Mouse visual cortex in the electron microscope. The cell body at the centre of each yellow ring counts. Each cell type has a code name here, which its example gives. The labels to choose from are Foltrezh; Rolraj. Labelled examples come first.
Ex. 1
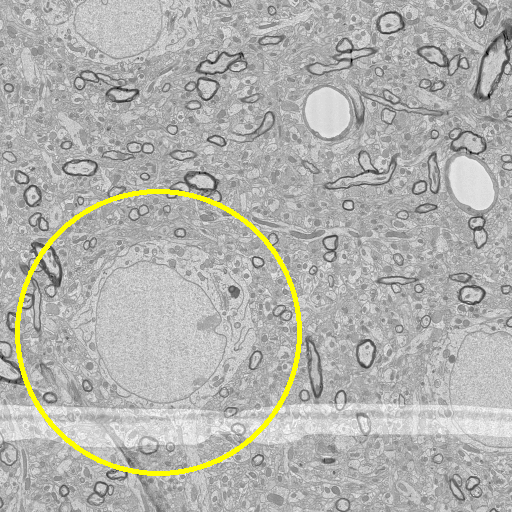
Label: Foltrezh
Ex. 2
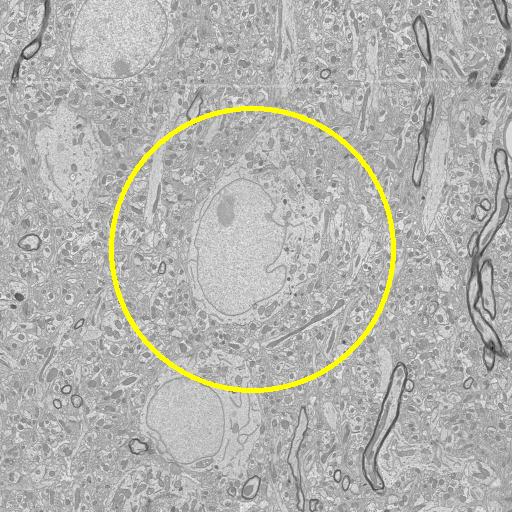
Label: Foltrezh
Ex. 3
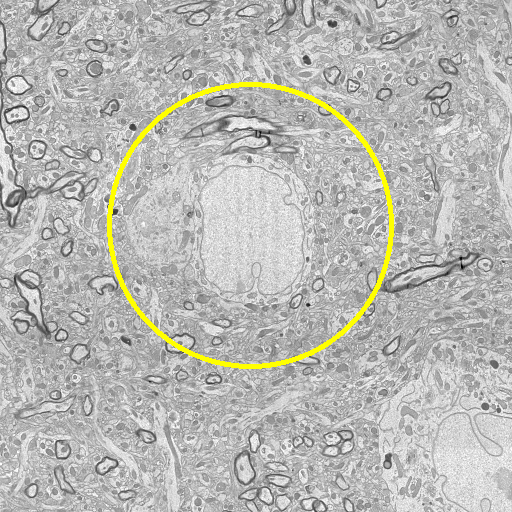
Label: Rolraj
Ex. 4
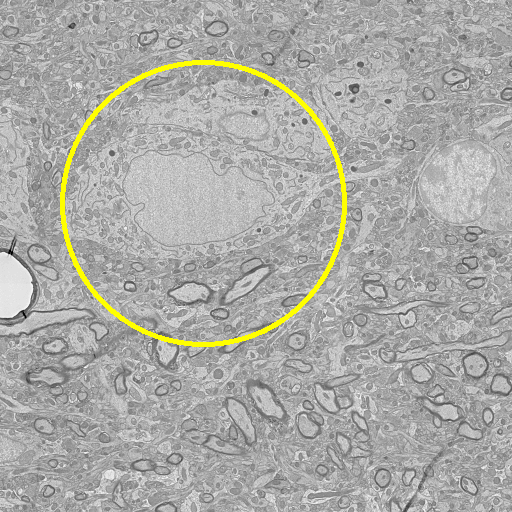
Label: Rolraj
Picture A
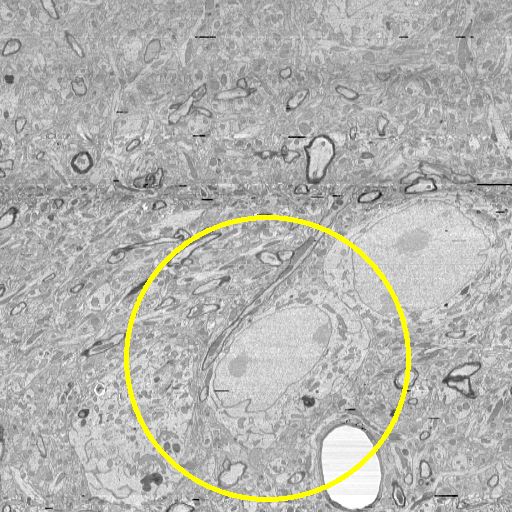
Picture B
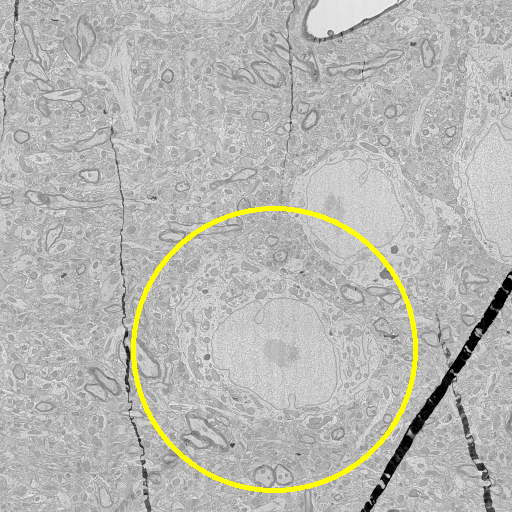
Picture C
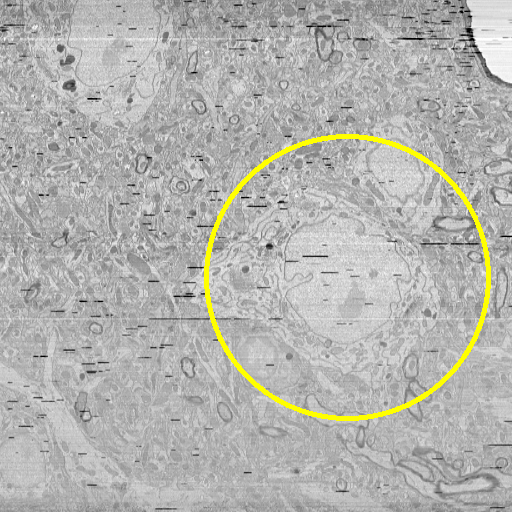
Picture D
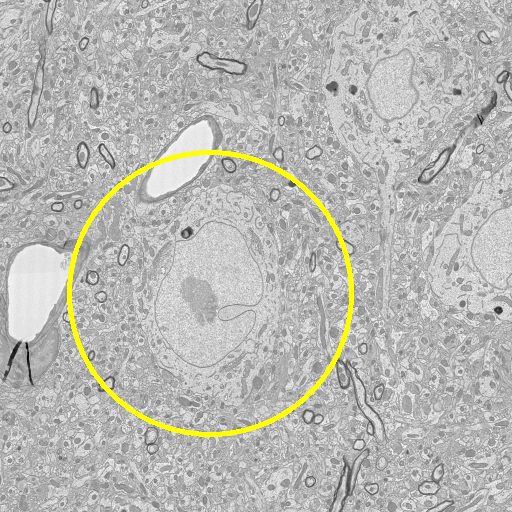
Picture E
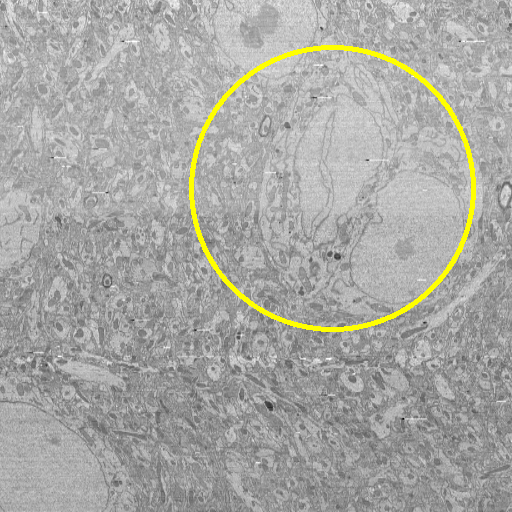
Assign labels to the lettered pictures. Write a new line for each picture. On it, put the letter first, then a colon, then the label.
A: Foltrezh
B: Rolraj
C: Rolraj
D: Foltrezh
E: Rolraj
